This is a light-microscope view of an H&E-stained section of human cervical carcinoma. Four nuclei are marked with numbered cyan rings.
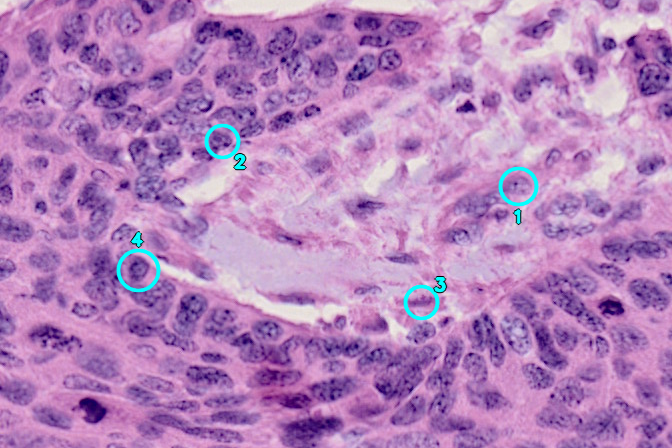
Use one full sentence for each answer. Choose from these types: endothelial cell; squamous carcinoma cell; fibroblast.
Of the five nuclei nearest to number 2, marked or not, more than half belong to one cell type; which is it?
Squamous carcinoma cells make up most of the five nuclei closest to number 2.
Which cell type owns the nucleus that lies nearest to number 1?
The nucleus nearest to number 1 is that of an endothelial cell.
